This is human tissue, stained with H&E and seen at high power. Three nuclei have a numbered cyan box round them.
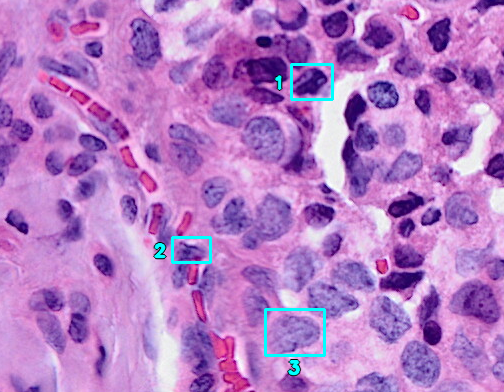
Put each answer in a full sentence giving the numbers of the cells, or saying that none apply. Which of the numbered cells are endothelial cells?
Cell 2 is an endothelial cell; no further numbered cell is.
